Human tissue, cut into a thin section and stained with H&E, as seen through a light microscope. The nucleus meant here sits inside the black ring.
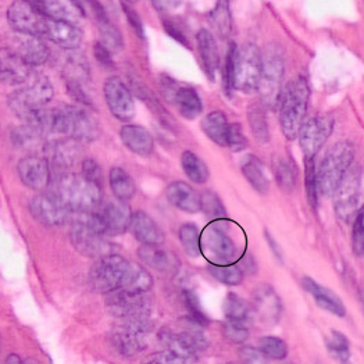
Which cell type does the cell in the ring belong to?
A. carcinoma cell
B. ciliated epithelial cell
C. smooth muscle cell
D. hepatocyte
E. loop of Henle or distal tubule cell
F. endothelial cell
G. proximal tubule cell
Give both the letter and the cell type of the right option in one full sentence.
The choice that fits is option B, as the cell in the ring is a ciliated epithelial cell.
